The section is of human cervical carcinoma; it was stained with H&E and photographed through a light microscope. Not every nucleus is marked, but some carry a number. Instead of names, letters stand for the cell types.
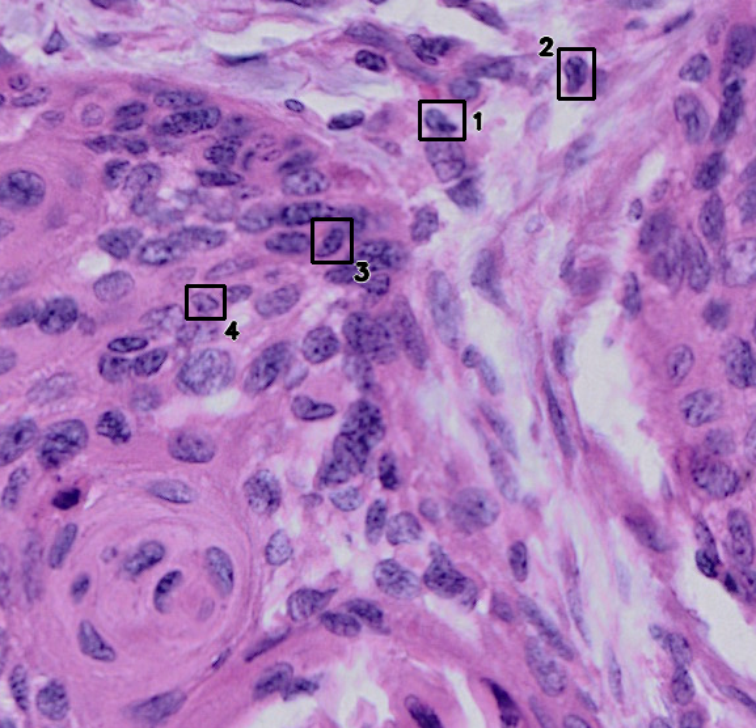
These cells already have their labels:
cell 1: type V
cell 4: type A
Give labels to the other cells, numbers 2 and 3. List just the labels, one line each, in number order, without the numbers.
type V
type A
